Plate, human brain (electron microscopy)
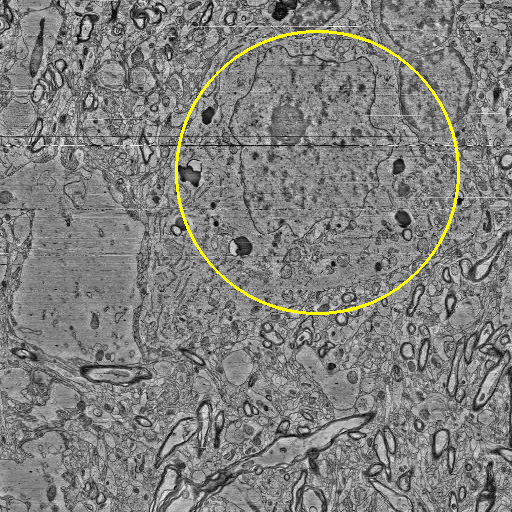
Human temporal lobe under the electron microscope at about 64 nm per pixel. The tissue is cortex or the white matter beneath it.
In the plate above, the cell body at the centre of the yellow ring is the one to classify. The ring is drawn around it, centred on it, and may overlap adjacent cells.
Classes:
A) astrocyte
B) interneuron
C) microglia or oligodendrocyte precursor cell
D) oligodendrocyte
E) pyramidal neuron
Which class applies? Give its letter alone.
E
